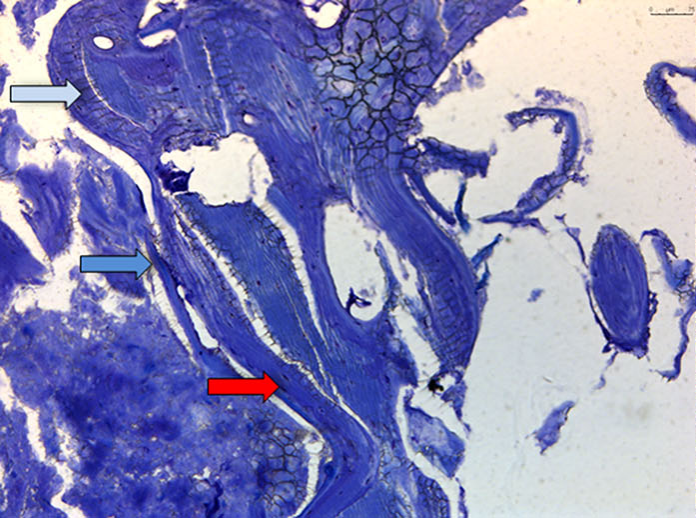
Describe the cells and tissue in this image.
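Bone in section, with curving blue-stained trabeculae of lamellar matrix separated by pale spaces. The lamellae follow the curved outlines of the trabeculae, and small dark osteocytes are scattered sparsely within them. Narrow clefts separate some layers along the trabecular edges, where a thin darker blue band is seen. At the upper middle a region shows a polygonal network of fine dark lines. Loose fragments of bone lie free in the pale space to the right.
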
